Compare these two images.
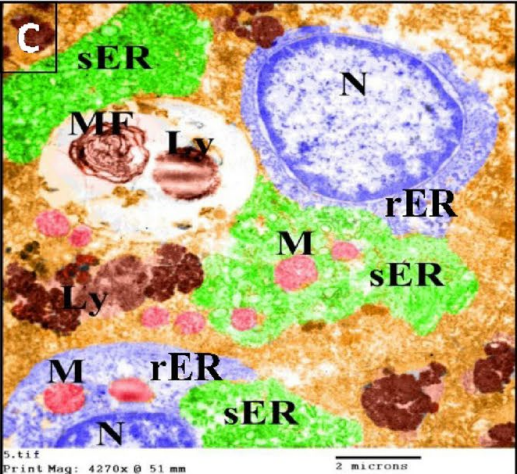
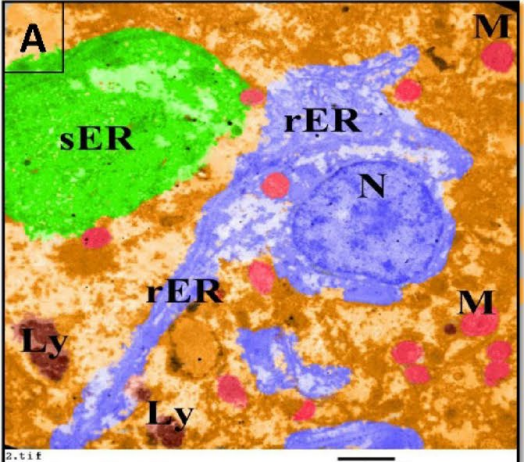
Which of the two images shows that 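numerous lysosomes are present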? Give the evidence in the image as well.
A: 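First image: many large dark brown granular lysosomes, several in clusters, lie throughout the cytoplasm. Second image: only a few small brown lysosomes appear at the lower left.
The first image.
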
